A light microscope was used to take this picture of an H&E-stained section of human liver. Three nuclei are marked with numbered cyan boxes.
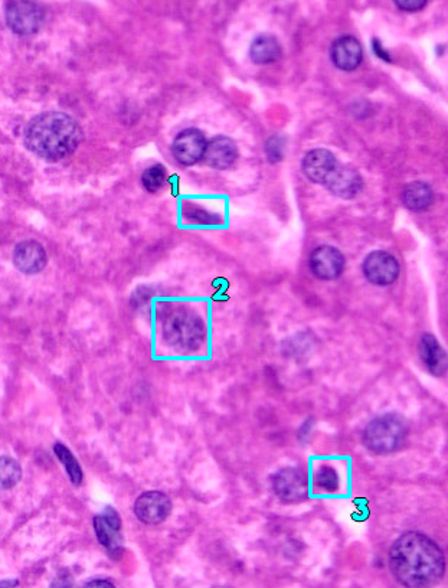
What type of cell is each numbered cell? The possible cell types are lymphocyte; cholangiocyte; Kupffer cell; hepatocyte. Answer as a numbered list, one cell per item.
1. Kupffer cell
2. hepatocyte
3. lymphocyte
